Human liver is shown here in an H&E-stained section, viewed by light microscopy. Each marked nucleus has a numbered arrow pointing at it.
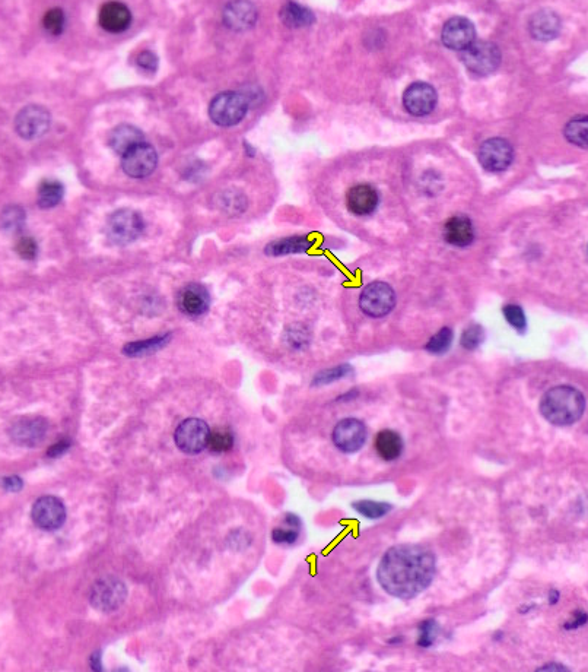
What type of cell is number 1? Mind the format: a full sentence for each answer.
The cell bearing label 1 corresponds to a lymphocyte.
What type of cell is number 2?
The correct answer for cell 2 is a hepatocyte.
